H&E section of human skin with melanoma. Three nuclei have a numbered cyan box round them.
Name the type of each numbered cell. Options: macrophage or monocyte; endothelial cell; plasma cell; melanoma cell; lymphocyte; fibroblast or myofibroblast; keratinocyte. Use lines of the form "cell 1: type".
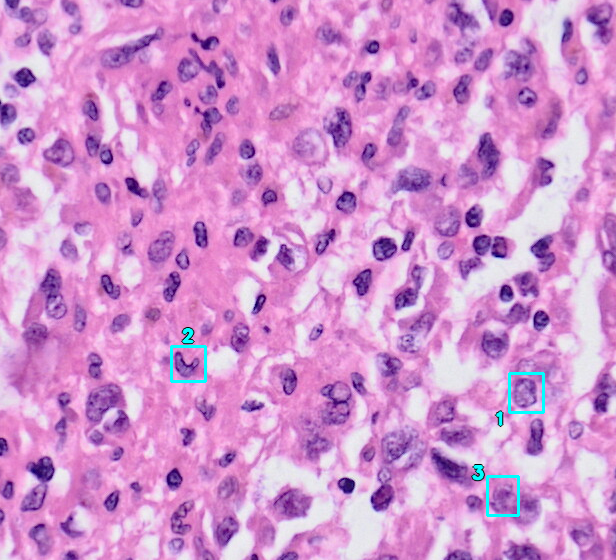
cell 1: melanoma cell
cell 2: macrophage or monocyte
cell 3: melanoma cell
